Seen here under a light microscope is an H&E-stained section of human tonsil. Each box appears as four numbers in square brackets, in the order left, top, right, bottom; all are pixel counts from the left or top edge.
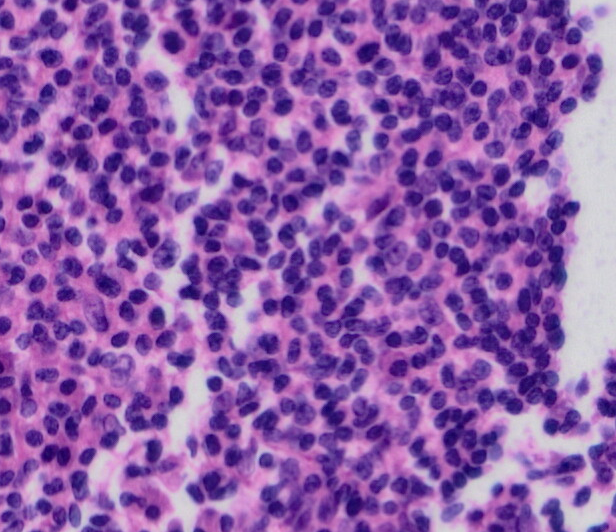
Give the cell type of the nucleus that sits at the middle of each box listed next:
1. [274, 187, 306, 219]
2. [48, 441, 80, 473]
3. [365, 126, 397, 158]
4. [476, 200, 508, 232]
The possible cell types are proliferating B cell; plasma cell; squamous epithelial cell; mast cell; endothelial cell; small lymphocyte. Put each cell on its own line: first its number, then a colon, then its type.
1: small lymphocyte
2: plasma cell
3: small lymphocyte
4: small lymphocyte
